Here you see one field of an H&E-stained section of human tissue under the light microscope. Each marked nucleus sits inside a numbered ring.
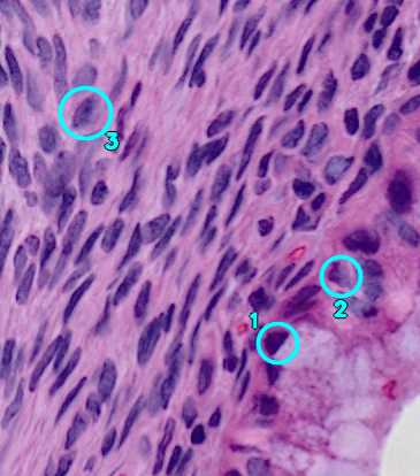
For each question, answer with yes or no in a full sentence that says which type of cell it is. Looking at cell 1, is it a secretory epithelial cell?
Yes, the one numbered 1 is a secretory epithelial cell.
